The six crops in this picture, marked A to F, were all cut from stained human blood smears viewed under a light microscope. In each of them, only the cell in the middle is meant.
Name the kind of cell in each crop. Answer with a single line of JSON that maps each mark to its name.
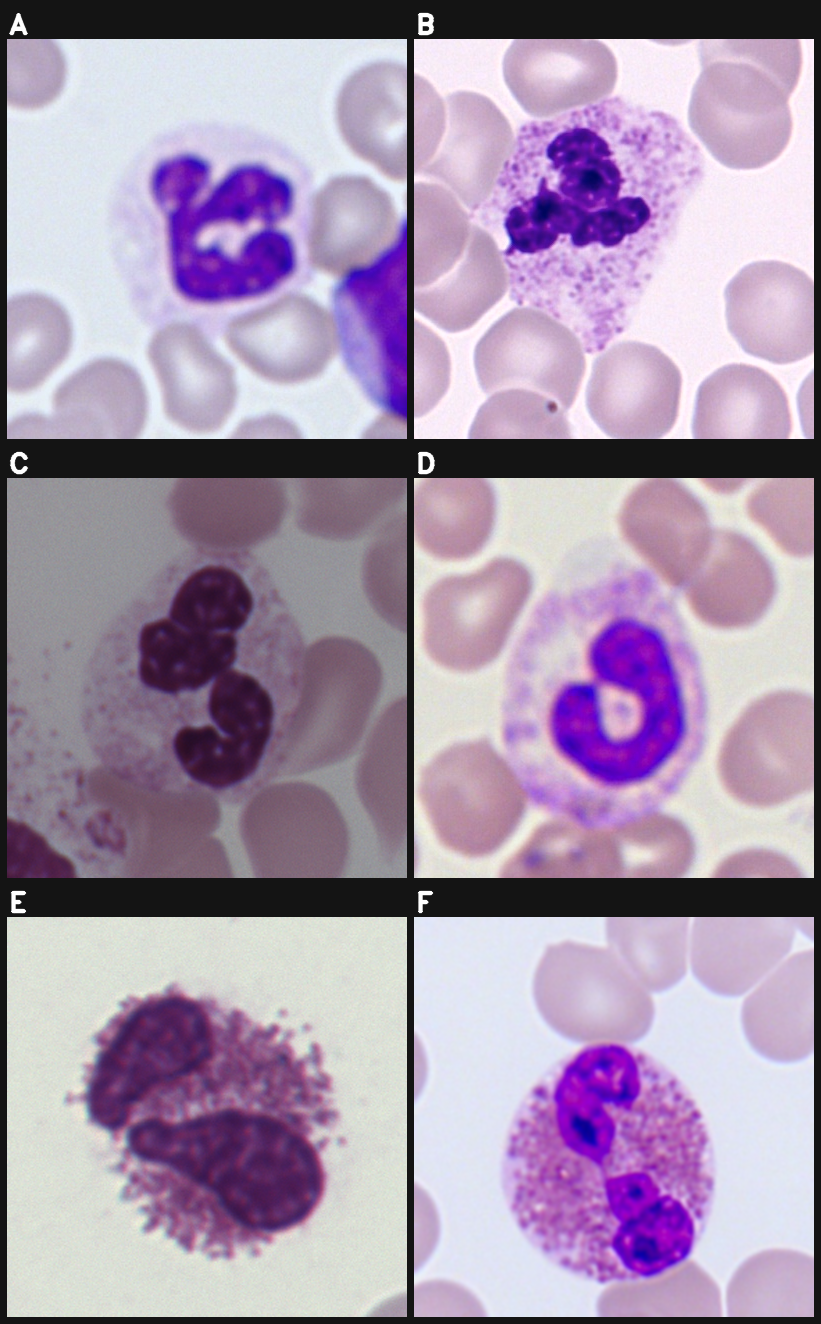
{"A": "segmented neutrophil", "B": "segmented neutrophil", "C": "segmented neutrophil", "D": "band neutrophil", "E": "eosinophil", "F": "eosinophil"}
